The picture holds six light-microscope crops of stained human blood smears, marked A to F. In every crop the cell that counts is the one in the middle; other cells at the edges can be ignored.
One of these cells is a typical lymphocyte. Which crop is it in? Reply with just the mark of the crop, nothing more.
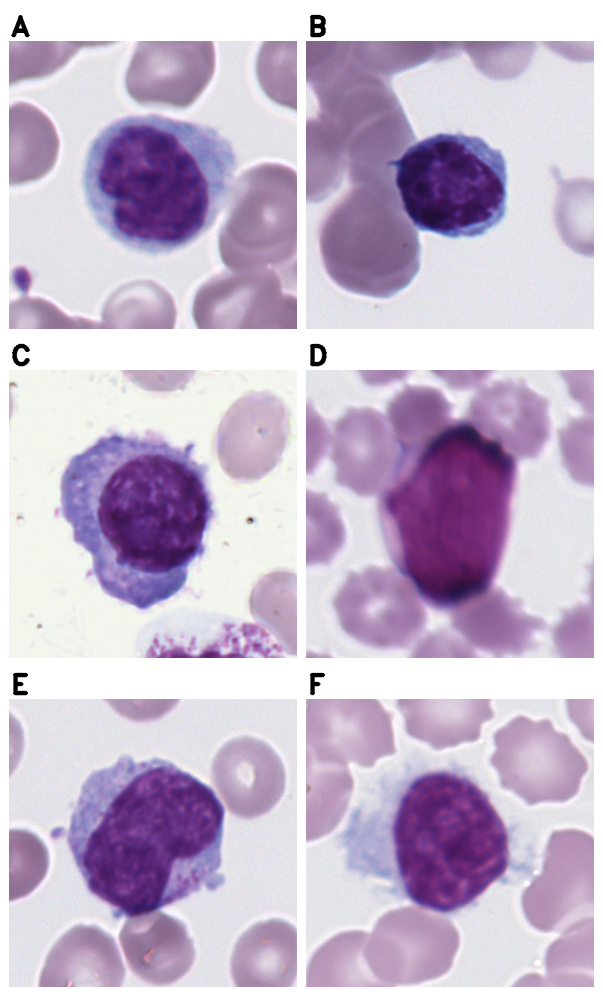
B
